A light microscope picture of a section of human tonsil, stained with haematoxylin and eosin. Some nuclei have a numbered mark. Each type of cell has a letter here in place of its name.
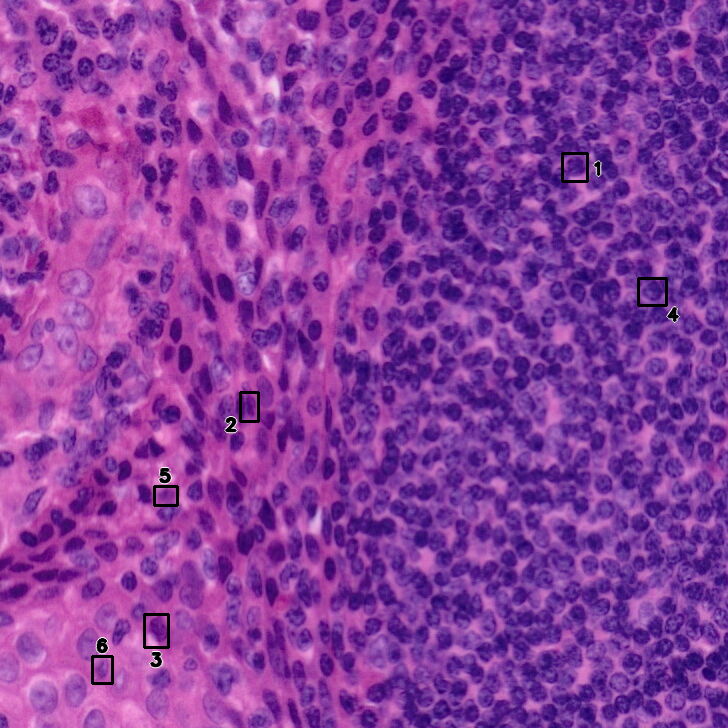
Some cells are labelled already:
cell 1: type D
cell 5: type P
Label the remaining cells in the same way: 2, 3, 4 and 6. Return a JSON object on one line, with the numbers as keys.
{"2": "type P", "3": "type P", "4": "type D", "6": "type P"}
